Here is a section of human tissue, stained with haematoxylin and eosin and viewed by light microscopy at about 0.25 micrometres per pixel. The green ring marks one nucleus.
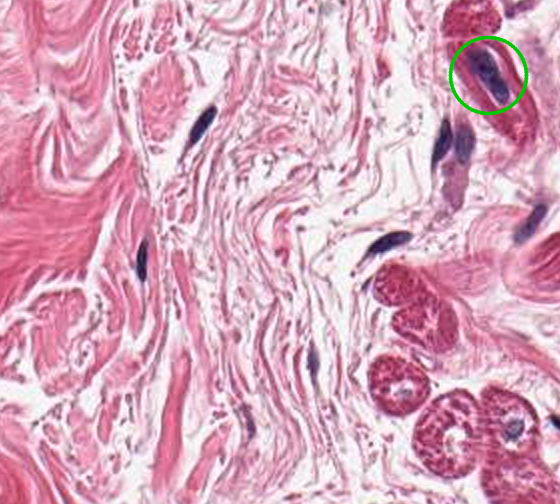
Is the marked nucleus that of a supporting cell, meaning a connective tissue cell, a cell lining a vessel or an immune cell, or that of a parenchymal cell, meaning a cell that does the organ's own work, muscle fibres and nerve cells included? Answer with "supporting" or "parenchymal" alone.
parenchymal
